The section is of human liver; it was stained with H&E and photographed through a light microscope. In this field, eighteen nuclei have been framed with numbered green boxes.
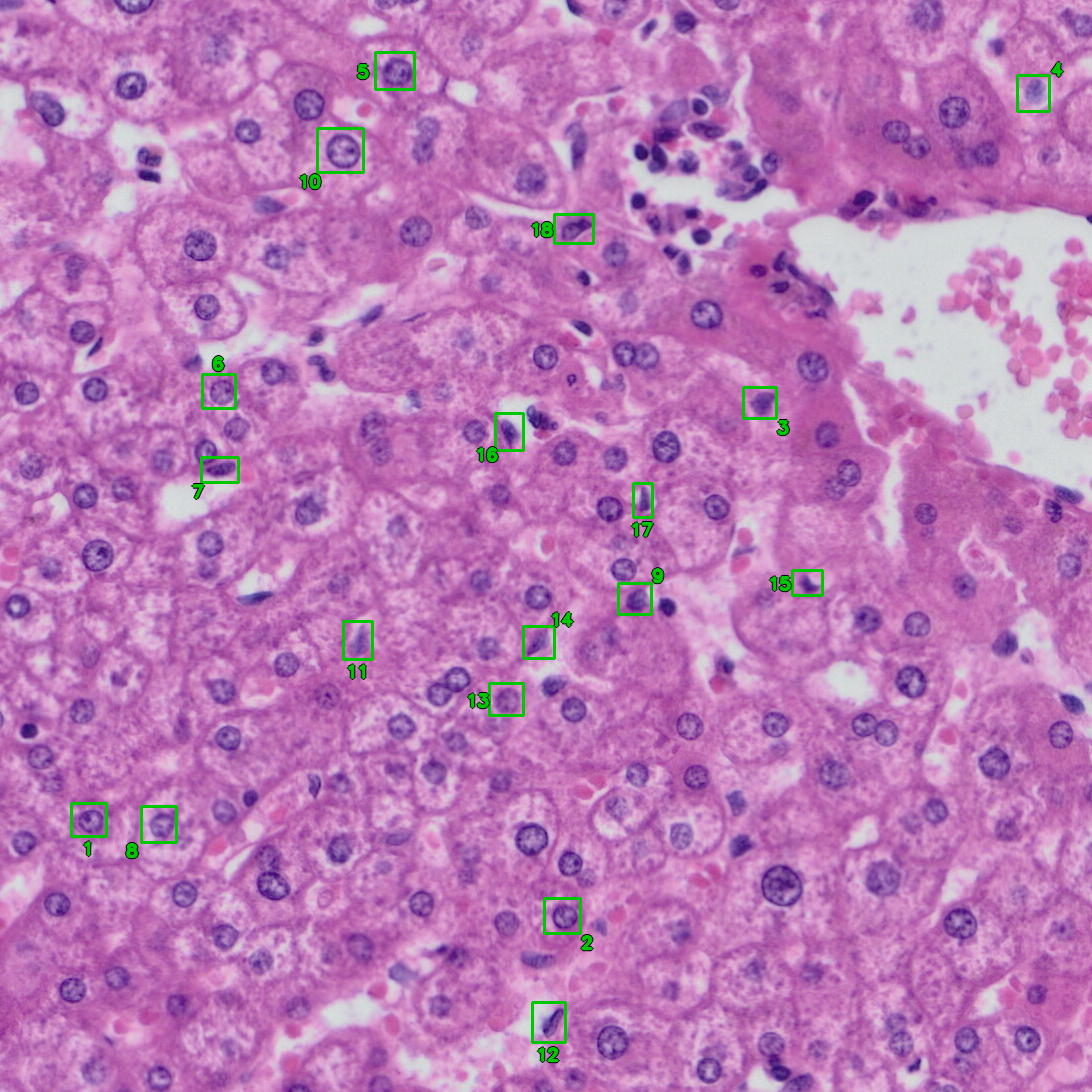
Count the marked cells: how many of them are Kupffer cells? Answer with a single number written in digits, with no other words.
2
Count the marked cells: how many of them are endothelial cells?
8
